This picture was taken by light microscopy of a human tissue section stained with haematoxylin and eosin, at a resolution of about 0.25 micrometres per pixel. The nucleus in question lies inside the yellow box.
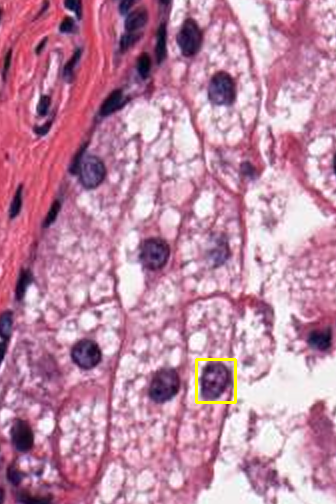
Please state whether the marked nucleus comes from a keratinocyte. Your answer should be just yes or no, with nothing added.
no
